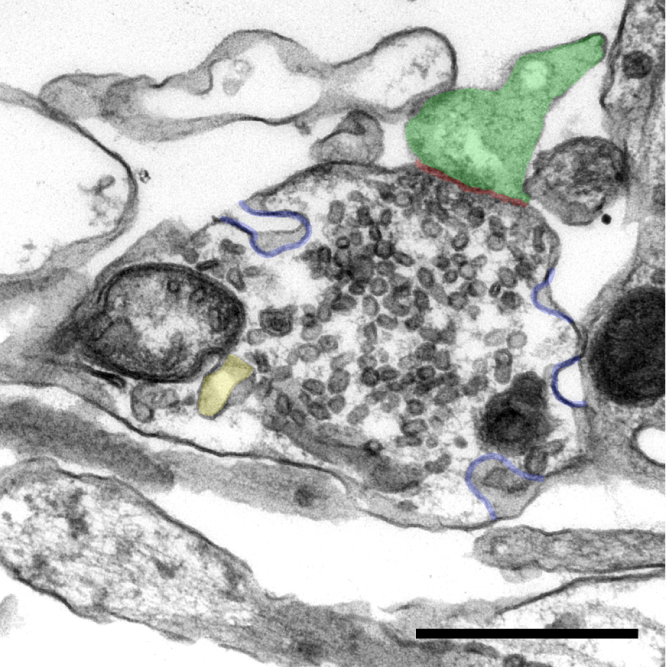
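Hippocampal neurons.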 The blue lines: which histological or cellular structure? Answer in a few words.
Invaginations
